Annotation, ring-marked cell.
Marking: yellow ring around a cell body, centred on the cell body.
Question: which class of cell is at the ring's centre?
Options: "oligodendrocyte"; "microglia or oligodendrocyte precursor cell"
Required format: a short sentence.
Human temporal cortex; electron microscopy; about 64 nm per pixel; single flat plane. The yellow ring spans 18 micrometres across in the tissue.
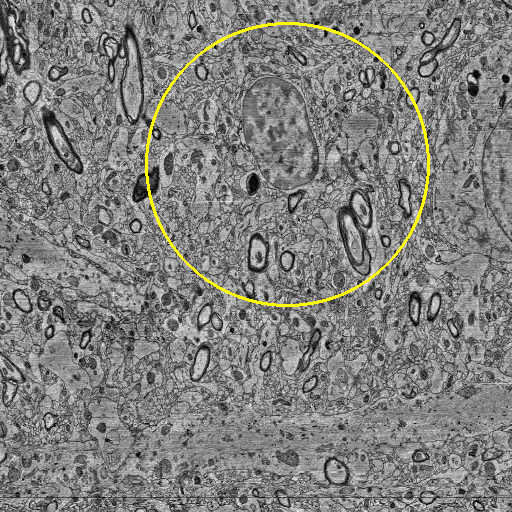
At the ring's centre is a microglial cell or oligodendrocyte precursor cell.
